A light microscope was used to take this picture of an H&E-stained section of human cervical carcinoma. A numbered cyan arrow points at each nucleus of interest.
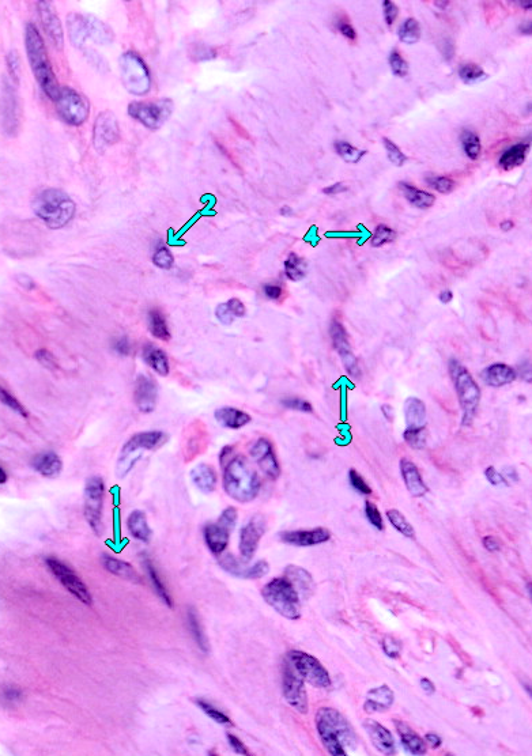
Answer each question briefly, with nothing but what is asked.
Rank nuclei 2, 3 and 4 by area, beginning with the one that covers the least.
4, 2, 3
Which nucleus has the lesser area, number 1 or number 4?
4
